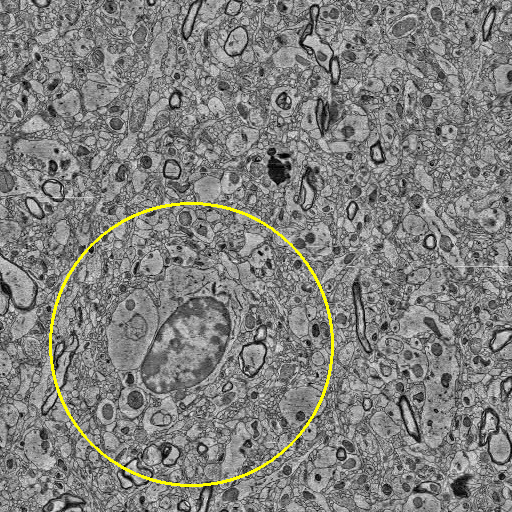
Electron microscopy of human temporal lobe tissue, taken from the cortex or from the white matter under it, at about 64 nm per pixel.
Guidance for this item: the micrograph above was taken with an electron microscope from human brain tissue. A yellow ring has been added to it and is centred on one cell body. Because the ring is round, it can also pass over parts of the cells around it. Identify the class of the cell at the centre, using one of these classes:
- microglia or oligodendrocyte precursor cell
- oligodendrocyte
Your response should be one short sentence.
The ring surrounds the body of a microglial cell or oligodendrocyte precursor cell.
